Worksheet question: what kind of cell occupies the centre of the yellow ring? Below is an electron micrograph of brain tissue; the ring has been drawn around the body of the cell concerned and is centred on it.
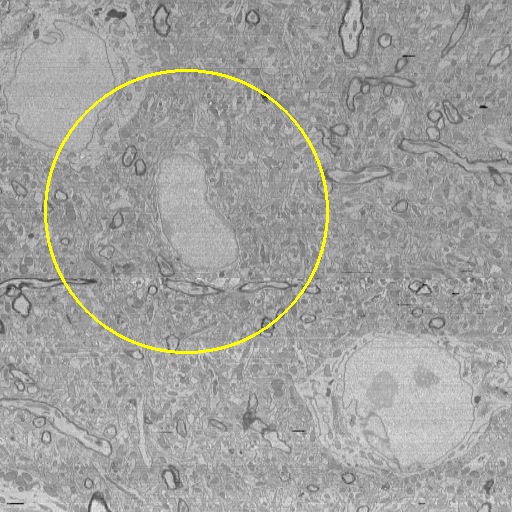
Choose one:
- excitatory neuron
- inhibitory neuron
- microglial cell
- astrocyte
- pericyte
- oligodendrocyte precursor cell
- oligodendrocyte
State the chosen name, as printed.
oligodendrocyte precursor cell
